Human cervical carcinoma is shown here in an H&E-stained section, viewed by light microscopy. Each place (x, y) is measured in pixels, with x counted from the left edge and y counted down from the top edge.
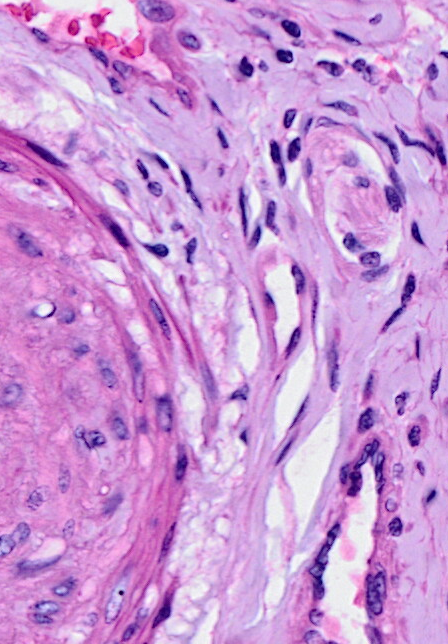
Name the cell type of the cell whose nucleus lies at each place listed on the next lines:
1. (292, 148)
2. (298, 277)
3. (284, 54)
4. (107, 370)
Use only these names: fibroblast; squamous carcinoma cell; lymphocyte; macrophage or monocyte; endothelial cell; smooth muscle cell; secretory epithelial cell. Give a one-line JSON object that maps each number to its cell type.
{"1": "lymphocyte", "2": "endothelial cell", "3": "lymphocyte", "4": "smooth muscle cell"}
